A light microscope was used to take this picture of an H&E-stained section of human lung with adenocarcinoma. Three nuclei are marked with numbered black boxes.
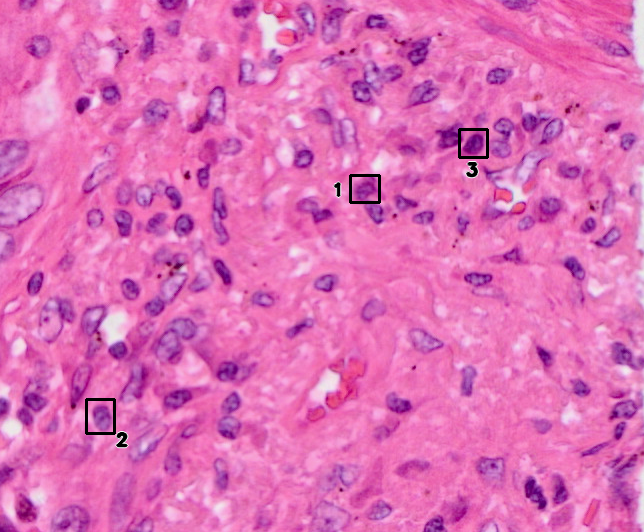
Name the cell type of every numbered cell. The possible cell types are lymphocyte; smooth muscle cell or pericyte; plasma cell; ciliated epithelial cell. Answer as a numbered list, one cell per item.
1. plasma cell
2. lymphocyte
3. plasma cell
